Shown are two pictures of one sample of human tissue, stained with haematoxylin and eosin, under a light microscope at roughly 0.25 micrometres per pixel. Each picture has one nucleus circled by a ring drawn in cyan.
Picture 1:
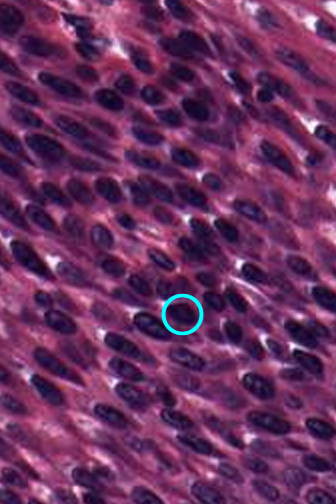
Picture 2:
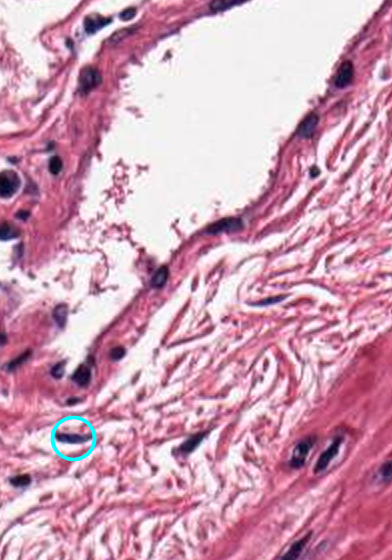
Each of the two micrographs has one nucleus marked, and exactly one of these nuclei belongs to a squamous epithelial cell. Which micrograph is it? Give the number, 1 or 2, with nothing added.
1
